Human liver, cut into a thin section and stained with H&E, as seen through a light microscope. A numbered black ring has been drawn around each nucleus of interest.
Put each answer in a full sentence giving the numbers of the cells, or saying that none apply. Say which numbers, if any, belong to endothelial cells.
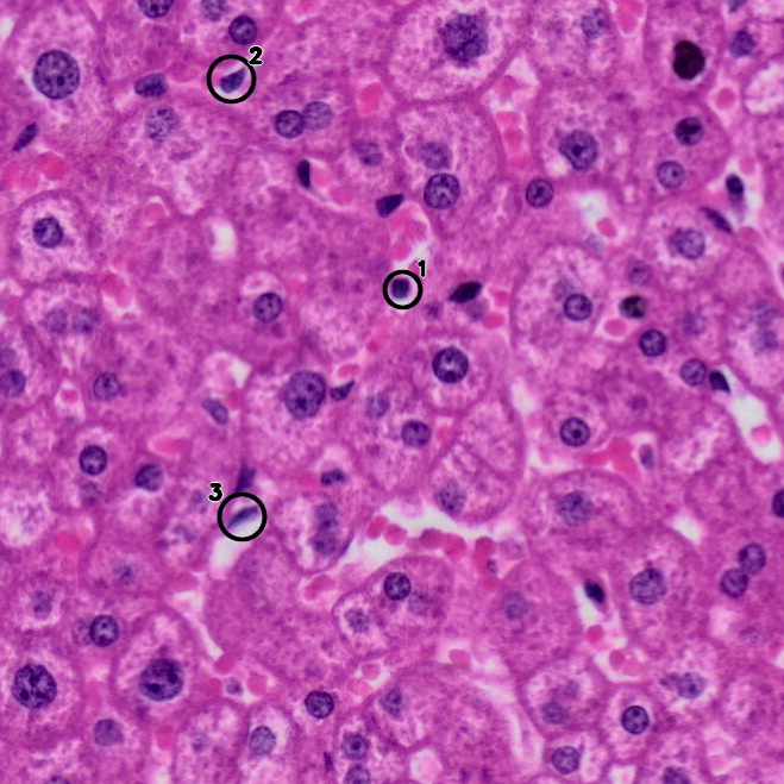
Only the cell at mark 3 is an endothelial cell, and no other marked cell is.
